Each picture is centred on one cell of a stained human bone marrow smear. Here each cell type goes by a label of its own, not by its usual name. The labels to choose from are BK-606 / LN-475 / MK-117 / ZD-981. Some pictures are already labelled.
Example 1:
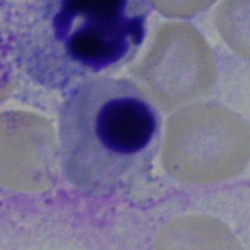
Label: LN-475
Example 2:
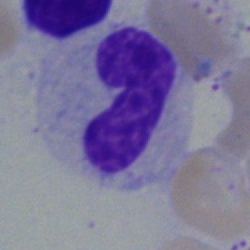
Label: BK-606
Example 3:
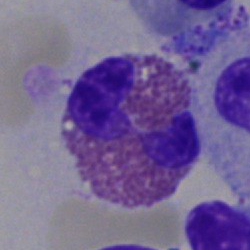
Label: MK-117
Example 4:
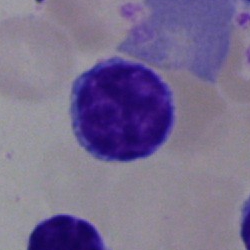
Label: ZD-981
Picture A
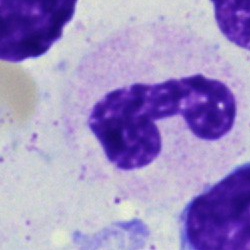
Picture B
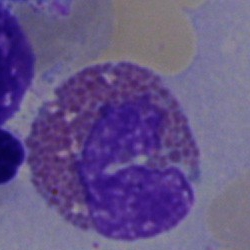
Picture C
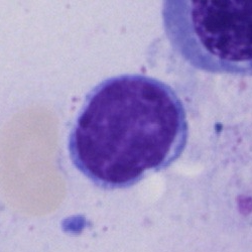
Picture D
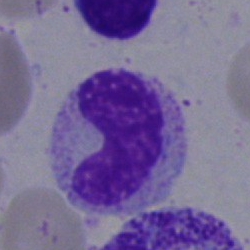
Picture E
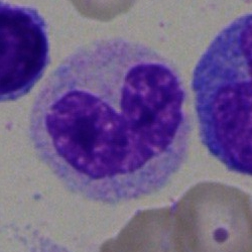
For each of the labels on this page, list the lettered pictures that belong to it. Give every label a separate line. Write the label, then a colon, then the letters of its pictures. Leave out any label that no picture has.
BK-606: A, D, E
MK-117: B
ZD-981: C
